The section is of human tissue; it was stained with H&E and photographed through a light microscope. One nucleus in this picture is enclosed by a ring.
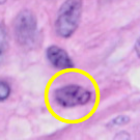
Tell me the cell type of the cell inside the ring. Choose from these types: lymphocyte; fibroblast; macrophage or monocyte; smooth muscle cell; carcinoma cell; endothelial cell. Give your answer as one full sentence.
Labelled by cell type, the cell inside the ring is a macrophage or monocyte.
